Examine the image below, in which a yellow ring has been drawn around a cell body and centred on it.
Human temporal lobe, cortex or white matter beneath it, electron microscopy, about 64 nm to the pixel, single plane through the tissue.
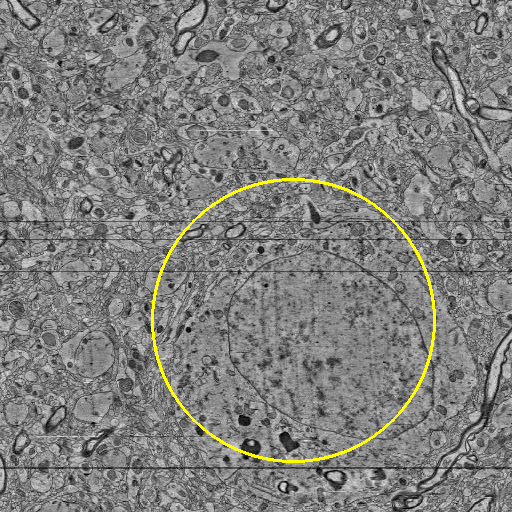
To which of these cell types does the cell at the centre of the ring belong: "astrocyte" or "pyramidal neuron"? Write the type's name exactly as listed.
pyramidal neuron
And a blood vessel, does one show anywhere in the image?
No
